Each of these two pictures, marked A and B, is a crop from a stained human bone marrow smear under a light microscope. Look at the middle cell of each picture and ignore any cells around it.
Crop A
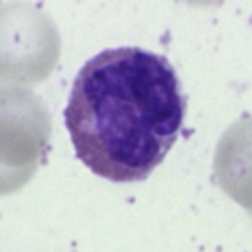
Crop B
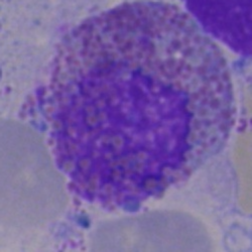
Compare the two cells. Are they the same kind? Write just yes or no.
yes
